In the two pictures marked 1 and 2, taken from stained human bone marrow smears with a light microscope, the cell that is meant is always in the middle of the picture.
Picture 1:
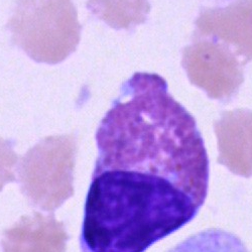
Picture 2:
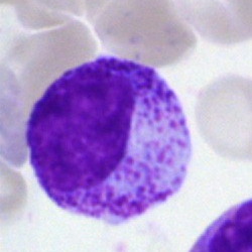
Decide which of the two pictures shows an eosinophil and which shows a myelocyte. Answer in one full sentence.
In picture 1 the cell is an eosinophil; in picture 2, a myelocyte.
